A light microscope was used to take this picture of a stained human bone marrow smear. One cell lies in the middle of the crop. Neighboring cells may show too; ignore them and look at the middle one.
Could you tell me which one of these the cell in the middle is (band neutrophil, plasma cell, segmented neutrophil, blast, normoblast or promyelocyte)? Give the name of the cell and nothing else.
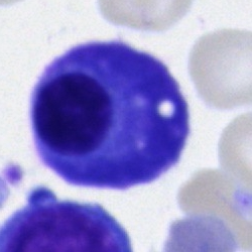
plasma cell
